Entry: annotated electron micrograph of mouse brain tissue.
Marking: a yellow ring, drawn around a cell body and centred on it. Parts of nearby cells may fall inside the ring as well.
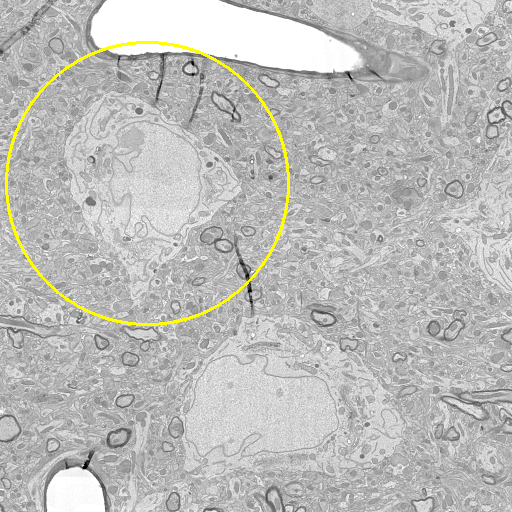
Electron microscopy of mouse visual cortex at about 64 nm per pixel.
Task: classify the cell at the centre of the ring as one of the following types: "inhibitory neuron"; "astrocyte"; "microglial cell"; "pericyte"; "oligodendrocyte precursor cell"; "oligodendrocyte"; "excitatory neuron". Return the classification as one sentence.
The marked cell is classified as an inhibitory neuron.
